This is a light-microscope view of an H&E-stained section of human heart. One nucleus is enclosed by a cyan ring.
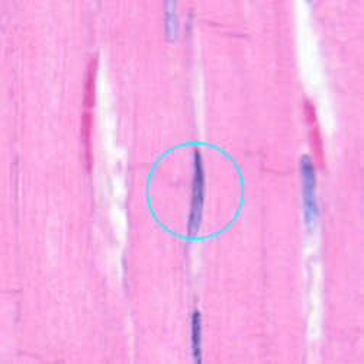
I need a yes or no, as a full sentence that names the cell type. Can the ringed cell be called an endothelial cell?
Yes, in terms of cell type, the ringed cell is an endothelial cell.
